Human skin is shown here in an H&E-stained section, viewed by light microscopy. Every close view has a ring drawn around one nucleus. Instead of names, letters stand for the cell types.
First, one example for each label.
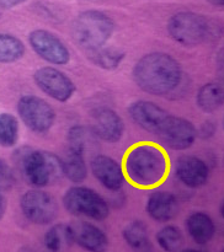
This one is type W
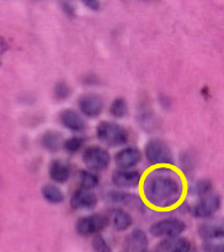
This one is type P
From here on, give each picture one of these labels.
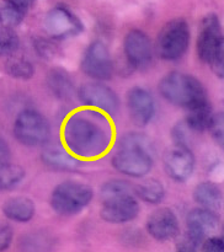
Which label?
type W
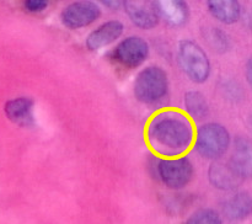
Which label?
type P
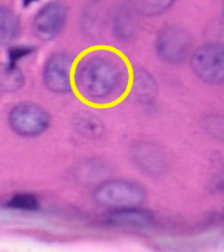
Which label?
type W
